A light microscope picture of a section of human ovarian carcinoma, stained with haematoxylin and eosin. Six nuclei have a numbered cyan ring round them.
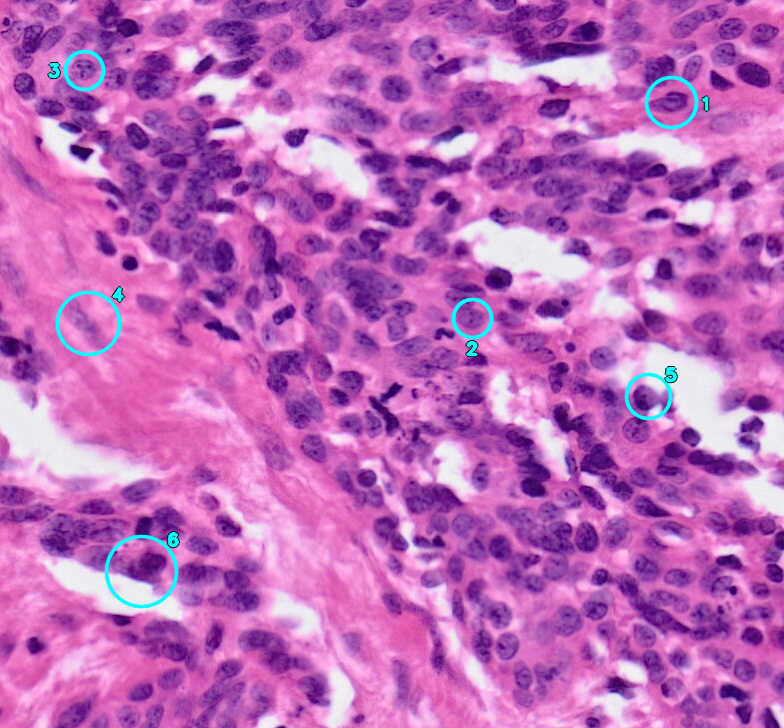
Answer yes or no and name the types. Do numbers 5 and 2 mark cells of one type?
Yes, cells 5 and 2 are of one type, both being carcinoma cells.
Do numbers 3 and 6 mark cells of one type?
No, cell 3 is a macrophage or monocyte, but cell 6 is a carcinoma cell.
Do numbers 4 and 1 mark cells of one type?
No, a fibroblast is what cell 4 is, and an endothelial cell is what cell 1 is.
